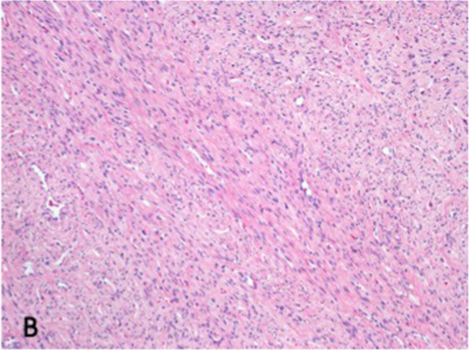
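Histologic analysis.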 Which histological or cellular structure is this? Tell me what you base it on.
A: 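Spindle cells lie in bundles running in different directions. Elongated nuclei are aligned within each bundle.
Fascicles.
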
